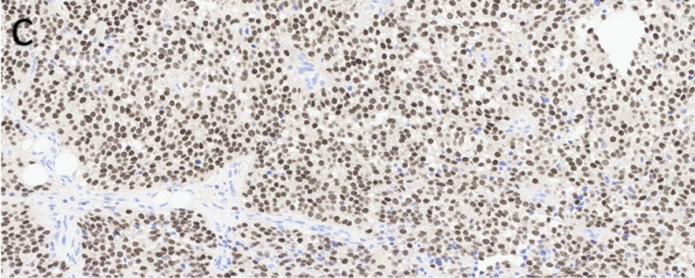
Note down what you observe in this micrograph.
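Sheets of crowded tumor cells fill most of the field, nearly all with round to oval nuclei stained dark brown, while their cytoplasm stays pale. Thin strands of stroma and small vessels run between the sheets; the elongated nuclei of cells there are blue and unstained, standing out against the brown tumor nuclei. A few clear round spaces, likely fat cells, lie at the edges. The brown staining is confined to nuclei and is strong and even across the tumor, showing a uniform population of tumor cells in a diffuse arrangement separated by scant stroma.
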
